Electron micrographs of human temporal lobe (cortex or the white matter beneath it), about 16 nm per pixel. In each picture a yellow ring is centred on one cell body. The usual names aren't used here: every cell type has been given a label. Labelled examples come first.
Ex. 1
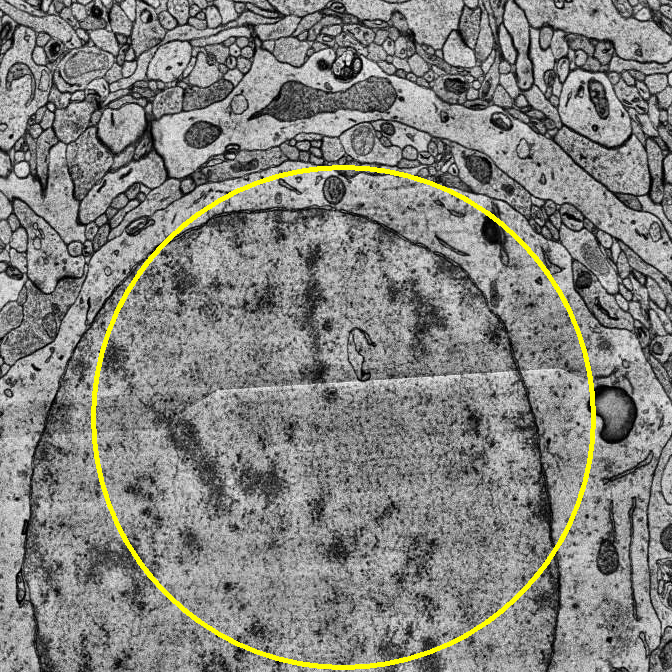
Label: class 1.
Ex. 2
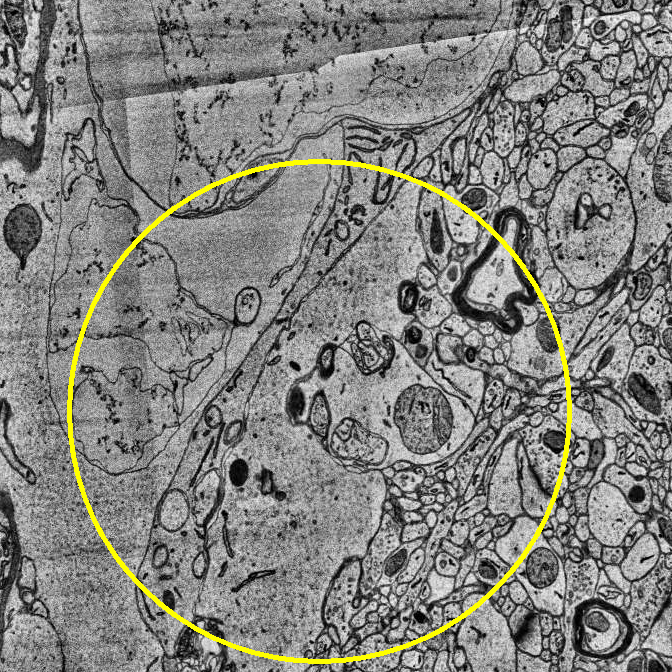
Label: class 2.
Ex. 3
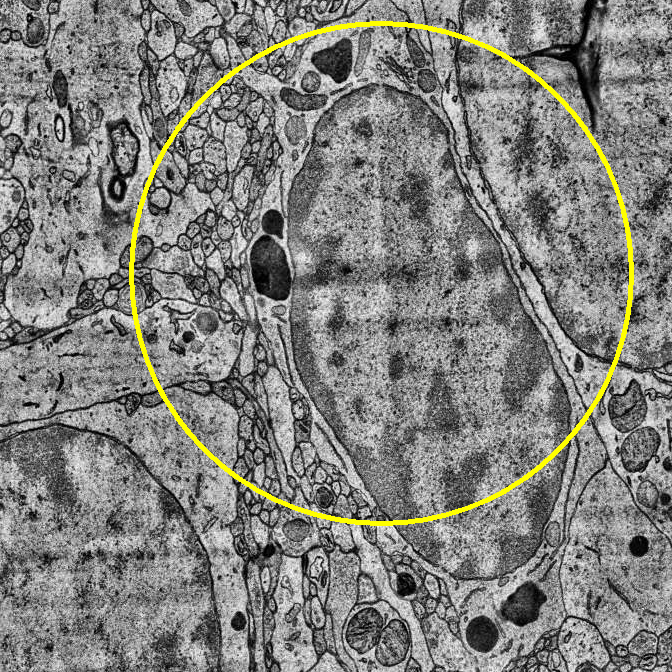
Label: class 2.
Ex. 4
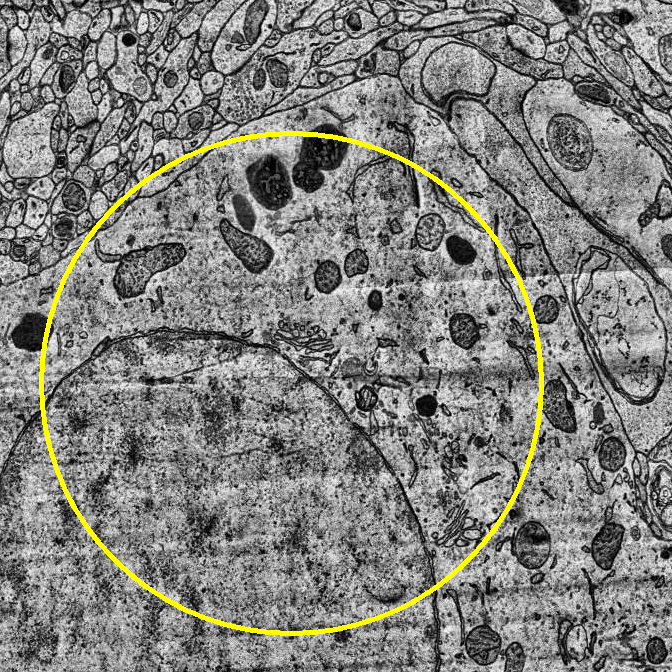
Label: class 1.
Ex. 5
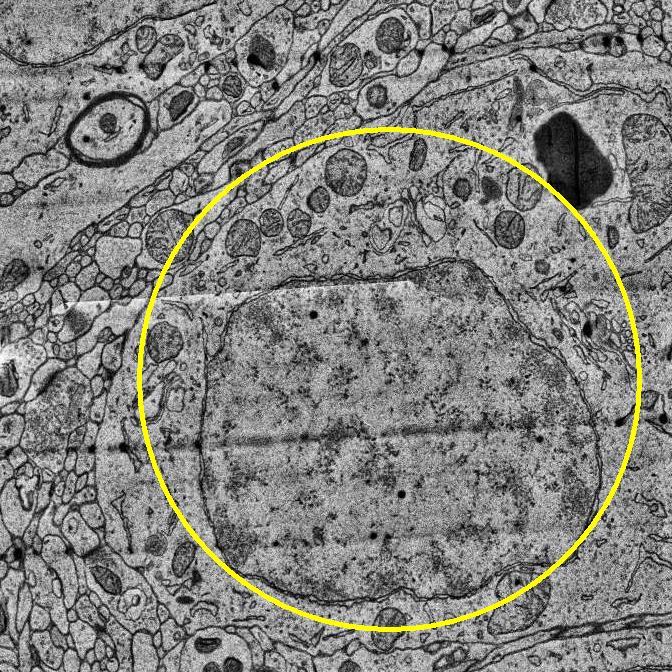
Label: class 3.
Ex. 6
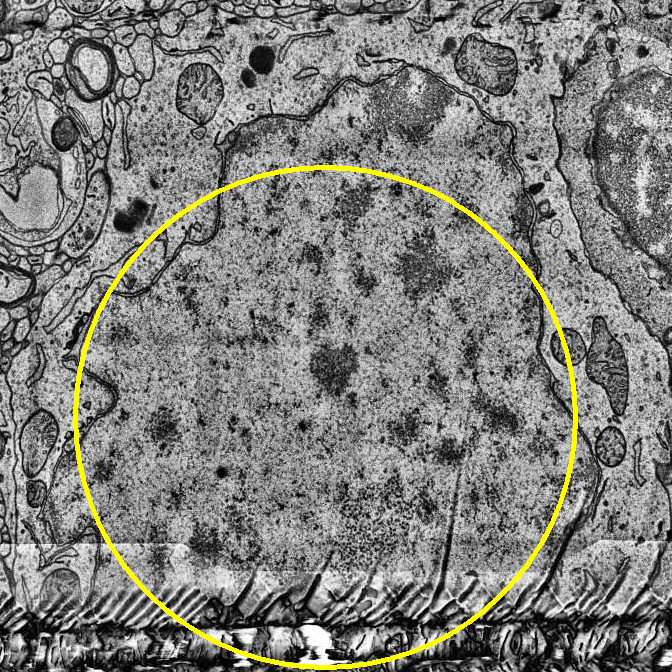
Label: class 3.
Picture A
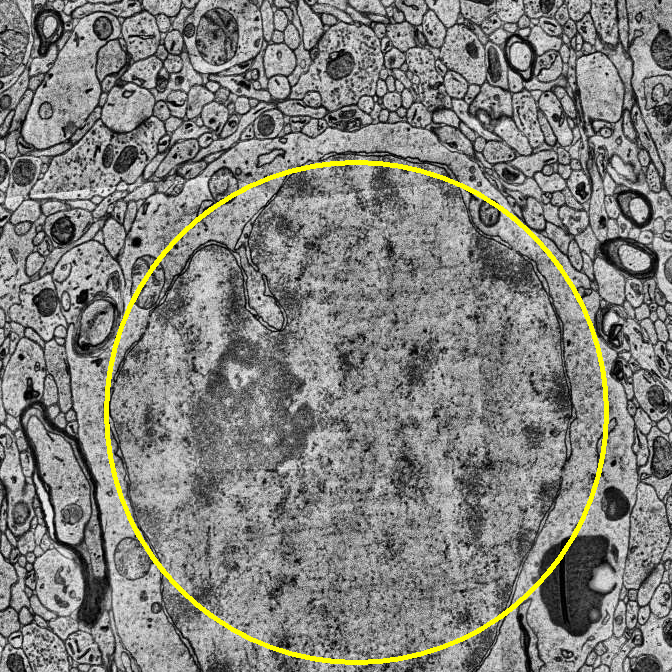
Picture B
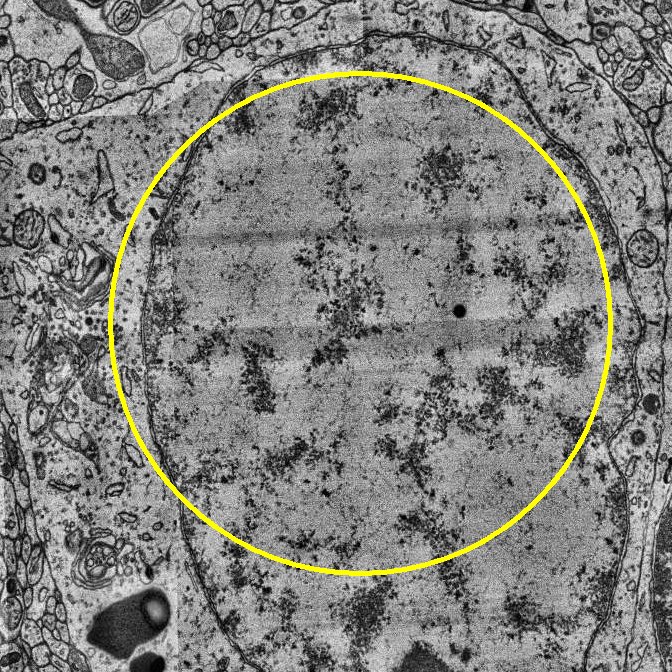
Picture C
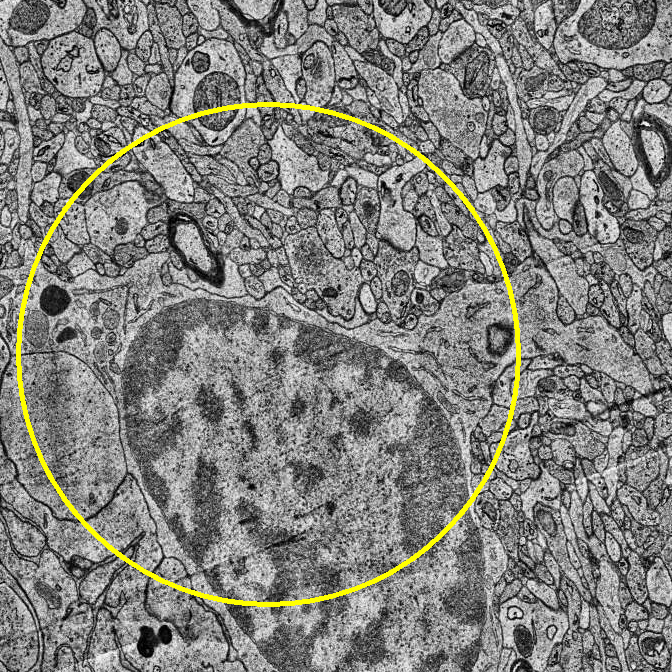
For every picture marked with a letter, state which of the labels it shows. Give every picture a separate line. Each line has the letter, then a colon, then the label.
A: class 3.
B: class 1.
C: class 2.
